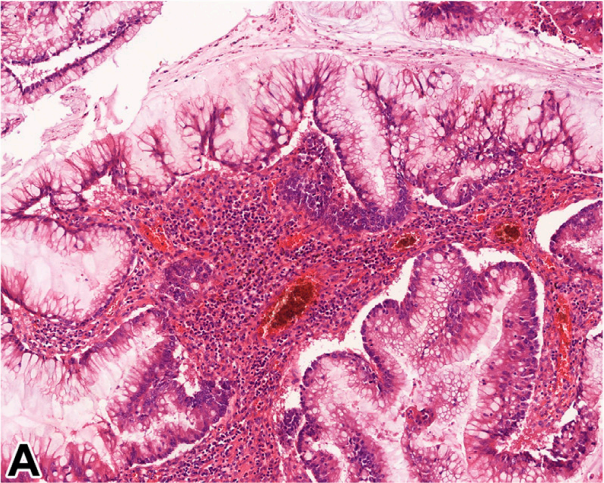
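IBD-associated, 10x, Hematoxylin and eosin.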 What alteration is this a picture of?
Hypermucinous dysplasia.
